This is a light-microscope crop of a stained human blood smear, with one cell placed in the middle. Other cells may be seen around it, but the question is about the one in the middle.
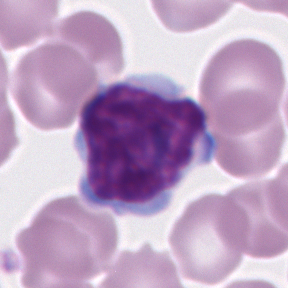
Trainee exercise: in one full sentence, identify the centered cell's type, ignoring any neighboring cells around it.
The cell of interest, located centrally, is a typical lymphocyte.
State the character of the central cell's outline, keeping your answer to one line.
The contour of the cell is interrupted by ragged areas or by projections.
